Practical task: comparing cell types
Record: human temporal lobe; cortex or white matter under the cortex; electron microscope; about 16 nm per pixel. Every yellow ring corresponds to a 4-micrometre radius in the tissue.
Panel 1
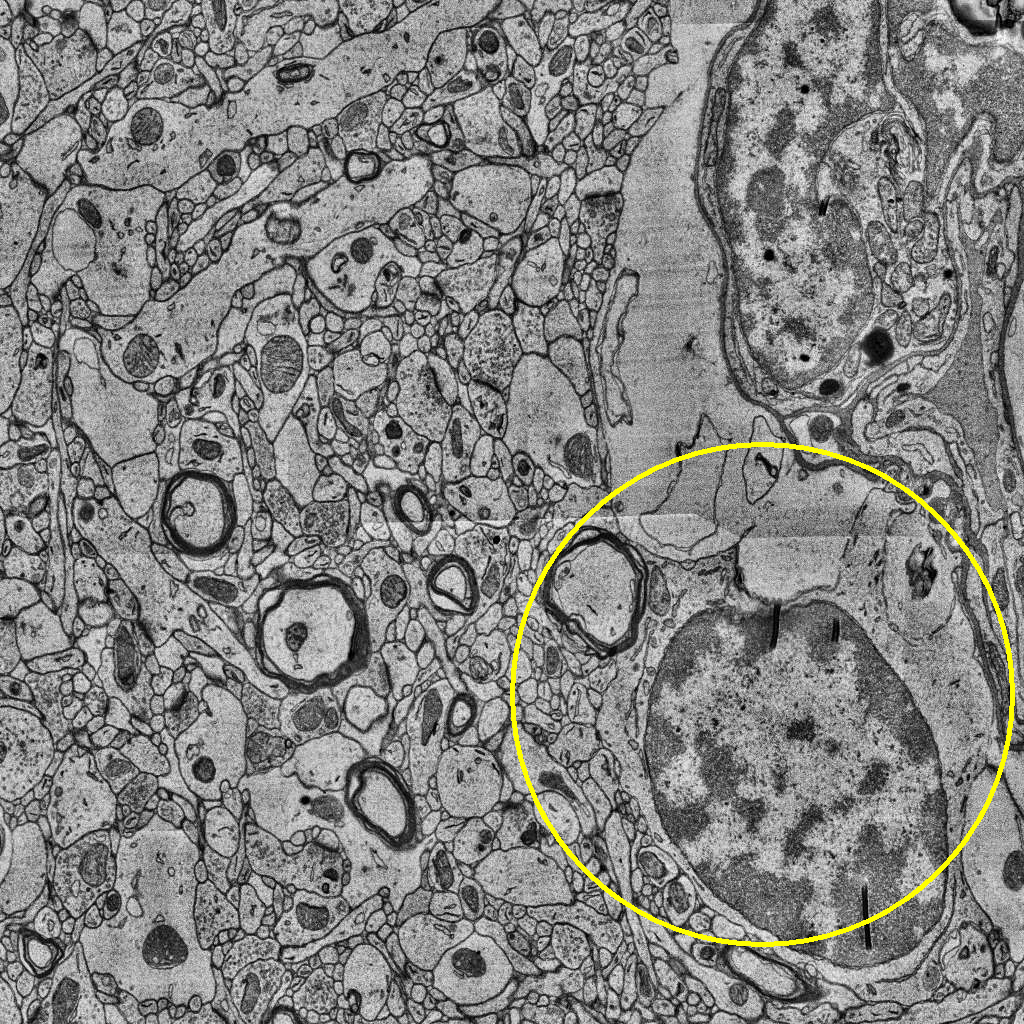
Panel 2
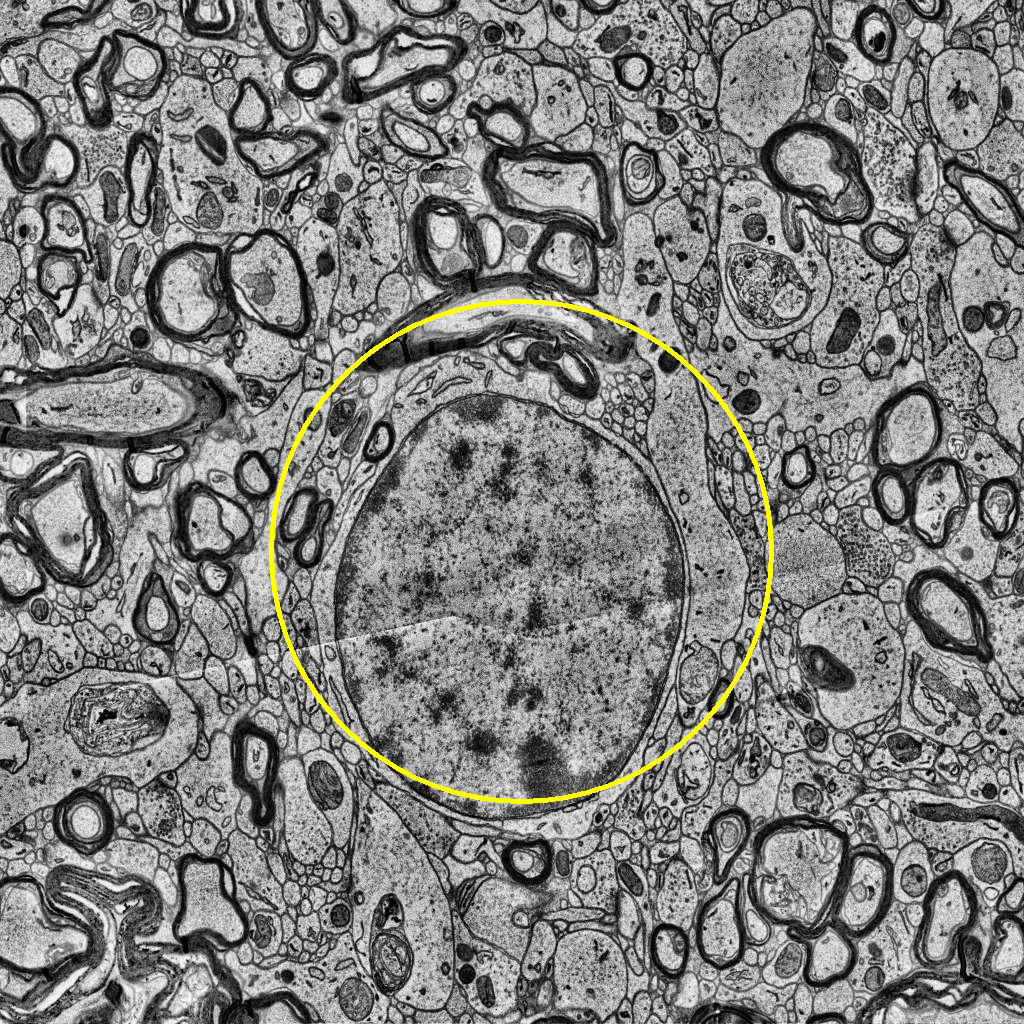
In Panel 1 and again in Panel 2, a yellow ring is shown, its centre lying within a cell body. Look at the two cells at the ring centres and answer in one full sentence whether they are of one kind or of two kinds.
The two cells sitting at the ring centres of Panels 1 and 2 are of one kind.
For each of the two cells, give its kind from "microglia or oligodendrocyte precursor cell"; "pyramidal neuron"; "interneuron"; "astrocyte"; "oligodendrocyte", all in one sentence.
Each cell, in the first picture and the second, is a microglial cell or oligodendrocyte precursor cell.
